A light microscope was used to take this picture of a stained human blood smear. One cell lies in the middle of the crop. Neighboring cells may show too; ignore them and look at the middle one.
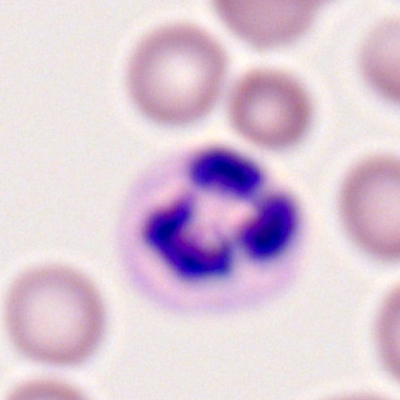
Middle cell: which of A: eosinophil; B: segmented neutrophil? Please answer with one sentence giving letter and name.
Seen at the centre of the crop is a segmented neutrophil, so option B is correct.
